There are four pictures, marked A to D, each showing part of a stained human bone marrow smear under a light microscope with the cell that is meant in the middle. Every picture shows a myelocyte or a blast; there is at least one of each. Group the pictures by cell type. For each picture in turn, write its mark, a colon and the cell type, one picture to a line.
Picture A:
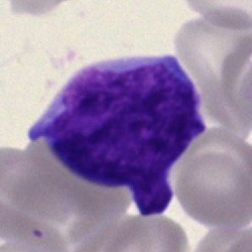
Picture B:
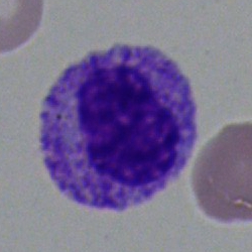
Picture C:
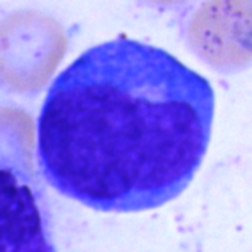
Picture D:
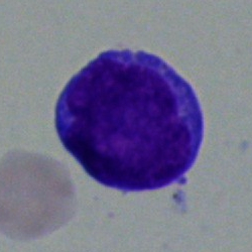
A: blast
B: myelocyte
C: blast
D: blast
